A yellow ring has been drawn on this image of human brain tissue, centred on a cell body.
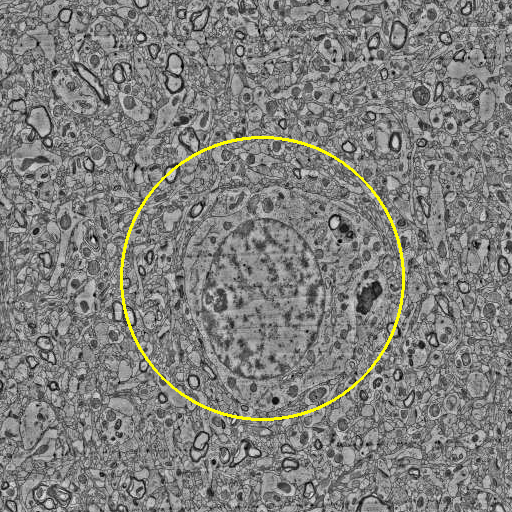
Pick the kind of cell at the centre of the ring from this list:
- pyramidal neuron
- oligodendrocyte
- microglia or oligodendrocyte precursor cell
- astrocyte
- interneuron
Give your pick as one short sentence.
The centre of the ring holds an interneuron.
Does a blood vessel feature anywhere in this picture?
No, no vessel appears in the picture.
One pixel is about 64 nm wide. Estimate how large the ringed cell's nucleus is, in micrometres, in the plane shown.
In this plane, about 10 micrometres in length and 8 in width.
